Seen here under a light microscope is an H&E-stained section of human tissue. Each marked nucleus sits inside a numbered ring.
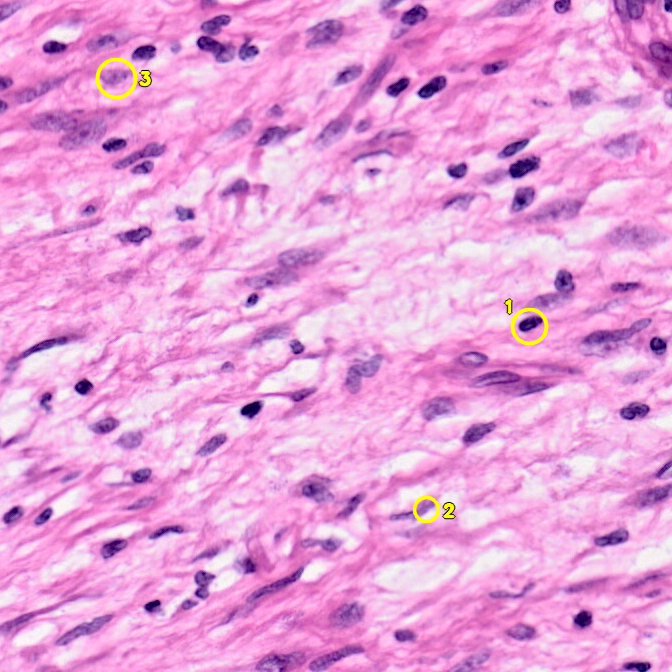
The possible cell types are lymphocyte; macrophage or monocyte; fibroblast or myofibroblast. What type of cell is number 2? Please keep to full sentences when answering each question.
The cell bearing label 2 corresponds to a fibroblast or myofibroblast.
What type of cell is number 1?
Among the marked cells, number 1 is a lymphocyte.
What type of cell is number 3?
The cell indicated with the number 3 is classed as a fibroblast or myofibroblast.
